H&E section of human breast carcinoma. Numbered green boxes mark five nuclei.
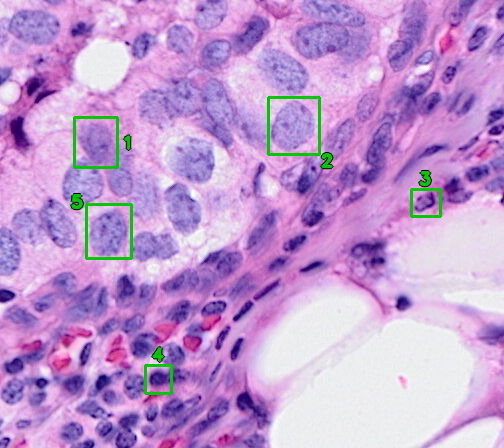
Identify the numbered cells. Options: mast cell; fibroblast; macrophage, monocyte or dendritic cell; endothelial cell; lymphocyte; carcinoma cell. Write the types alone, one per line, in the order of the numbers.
carcinoma cell
carcinoma cell
mast cell
lymphocyte
carcinoma cell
